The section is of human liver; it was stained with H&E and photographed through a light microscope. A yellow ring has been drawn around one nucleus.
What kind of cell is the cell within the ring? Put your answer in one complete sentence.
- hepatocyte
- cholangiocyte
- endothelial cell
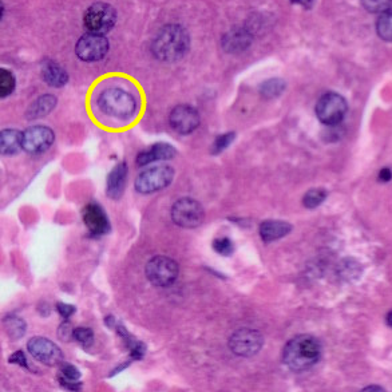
The cell type represented by the cell within the ring is that of a cholangiocyte.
